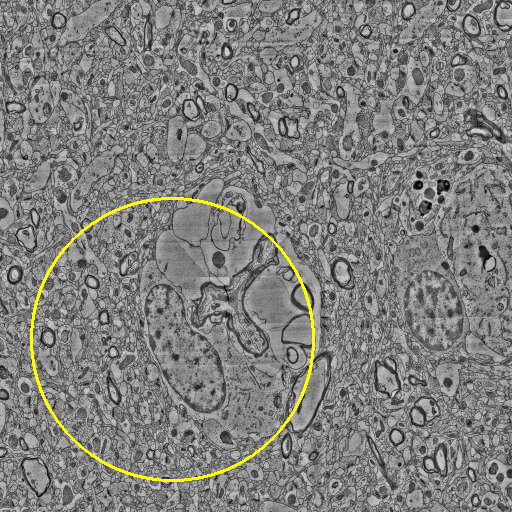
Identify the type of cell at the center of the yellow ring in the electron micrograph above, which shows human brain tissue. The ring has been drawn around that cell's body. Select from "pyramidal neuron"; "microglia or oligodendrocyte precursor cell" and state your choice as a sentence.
The yellow ring is centered on the body of a microglial cell or oligodendrocyte precursor cell.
